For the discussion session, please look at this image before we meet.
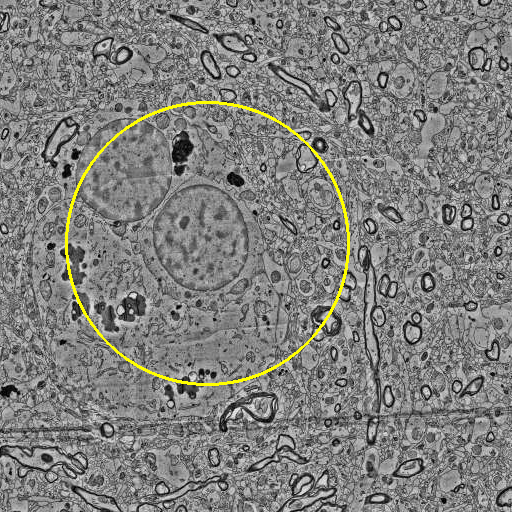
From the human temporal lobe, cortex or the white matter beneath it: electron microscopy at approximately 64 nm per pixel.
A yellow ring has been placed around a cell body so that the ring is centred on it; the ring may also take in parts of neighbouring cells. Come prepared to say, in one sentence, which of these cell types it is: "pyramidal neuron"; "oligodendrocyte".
The cell centred in the ring is an oligodendrocyte.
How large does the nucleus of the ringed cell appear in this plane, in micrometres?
In this plane the nucleus measures roughly 6 micrometres across.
